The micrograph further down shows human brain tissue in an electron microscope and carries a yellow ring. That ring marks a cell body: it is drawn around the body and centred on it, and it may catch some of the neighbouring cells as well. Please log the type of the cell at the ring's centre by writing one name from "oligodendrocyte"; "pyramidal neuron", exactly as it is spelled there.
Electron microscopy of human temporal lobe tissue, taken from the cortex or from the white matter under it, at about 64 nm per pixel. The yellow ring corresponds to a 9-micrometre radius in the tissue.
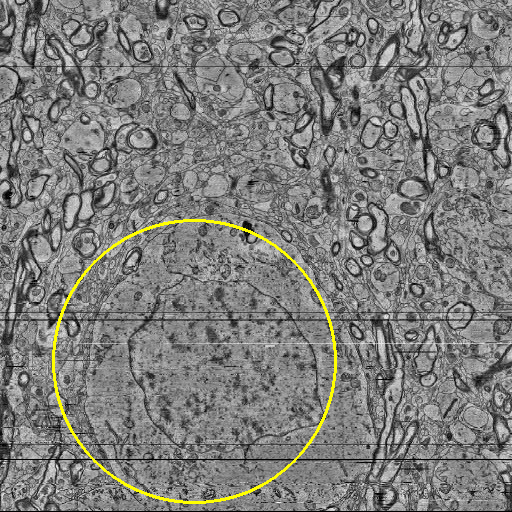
pyramidal neuron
